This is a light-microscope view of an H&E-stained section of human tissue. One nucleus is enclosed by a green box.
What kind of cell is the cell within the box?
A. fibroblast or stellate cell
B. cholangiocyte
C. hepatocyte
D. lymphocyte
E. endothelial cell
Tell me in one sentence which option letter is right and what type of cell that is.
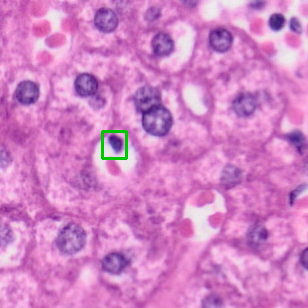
The accurate option is D, with the cell within the box being a lymphocyte.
